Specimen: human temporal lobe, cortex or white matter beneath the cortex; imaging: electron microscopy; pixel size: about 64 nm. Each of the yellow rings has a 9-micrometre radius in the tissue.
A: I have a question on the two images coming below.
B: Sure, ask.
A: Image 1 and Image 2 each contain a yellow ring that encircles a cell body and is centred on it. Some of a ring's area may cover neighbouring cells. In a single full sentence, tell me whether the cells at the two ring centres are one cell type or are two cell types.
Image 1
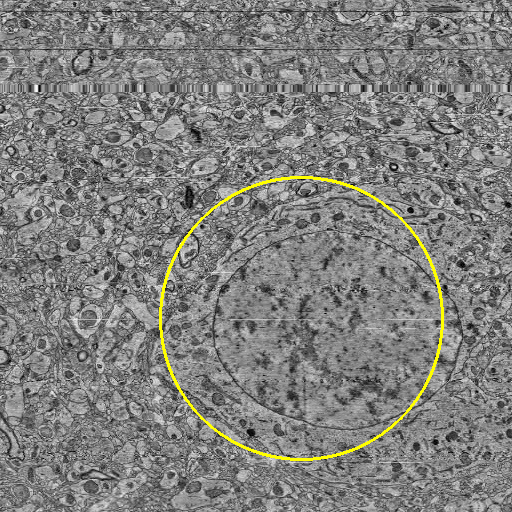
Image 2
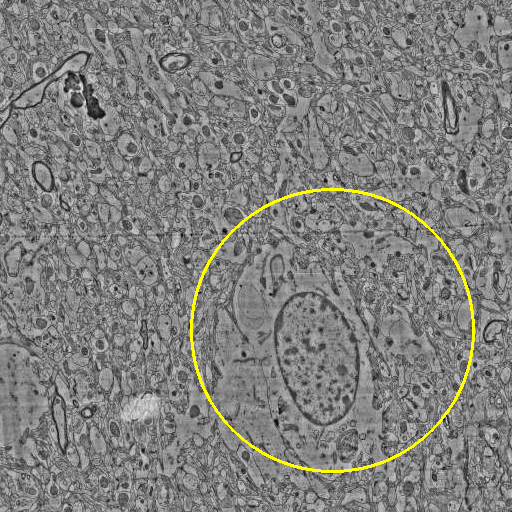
As for the ring-centre cells, the one in Image 1 and the one in Image 2 are two cell types.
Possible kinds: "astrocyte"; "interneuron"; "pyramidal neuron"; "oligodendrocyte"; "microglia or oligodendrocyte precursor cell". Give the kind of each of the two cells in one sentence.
The cell in the second picture is an astrocyte, and that in the first is a pyramidal neuron.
